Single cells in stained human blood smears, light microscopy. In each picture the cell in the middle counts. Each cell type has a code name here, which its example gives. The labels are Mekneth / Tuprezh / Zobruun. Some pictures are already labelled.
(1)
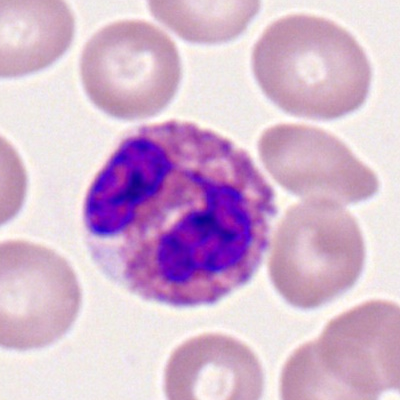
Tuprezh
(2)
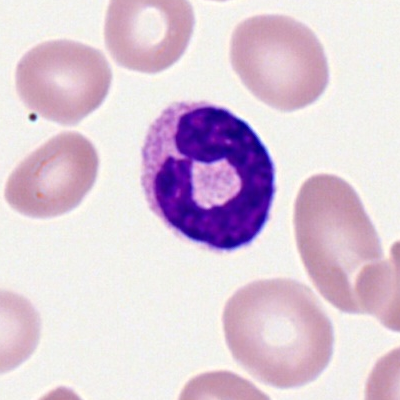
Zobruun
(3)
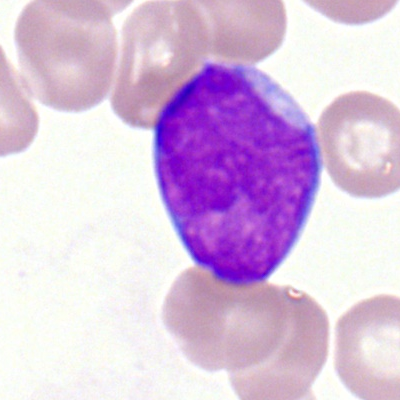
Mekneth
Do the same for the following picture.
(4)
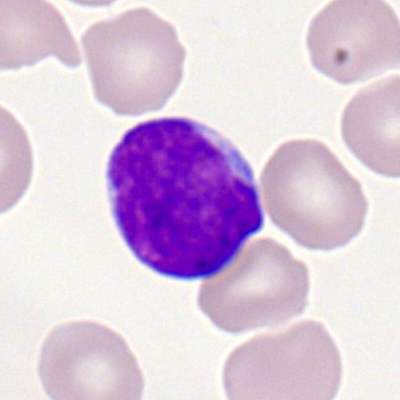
Mekneth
